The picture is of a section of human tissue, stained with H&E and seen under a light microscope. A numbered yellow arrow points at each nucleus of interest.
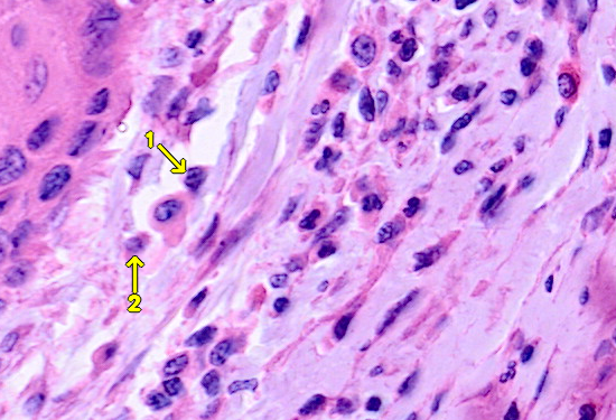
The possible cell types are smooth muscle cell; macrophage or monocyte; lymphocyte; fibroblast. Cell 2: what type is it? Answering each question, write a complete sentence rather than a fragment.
Regarding cell 2, this one is a macrophage or monocyte.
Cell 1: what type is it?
Looking at the numbered marks, cell 1 is a lymphocyte.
